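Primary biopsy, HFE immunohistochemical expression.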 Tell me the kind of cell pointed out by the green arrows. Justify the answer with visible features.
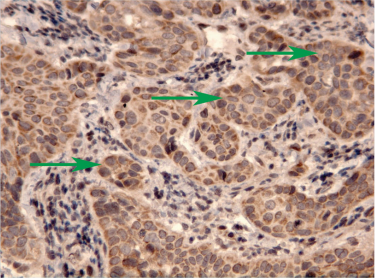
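The arrows point to nests of large crowded cells with big oval nuclei. The nests are separated by thin strands of stroma with small dark elongated nuclei. The answer: tumor cells.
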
